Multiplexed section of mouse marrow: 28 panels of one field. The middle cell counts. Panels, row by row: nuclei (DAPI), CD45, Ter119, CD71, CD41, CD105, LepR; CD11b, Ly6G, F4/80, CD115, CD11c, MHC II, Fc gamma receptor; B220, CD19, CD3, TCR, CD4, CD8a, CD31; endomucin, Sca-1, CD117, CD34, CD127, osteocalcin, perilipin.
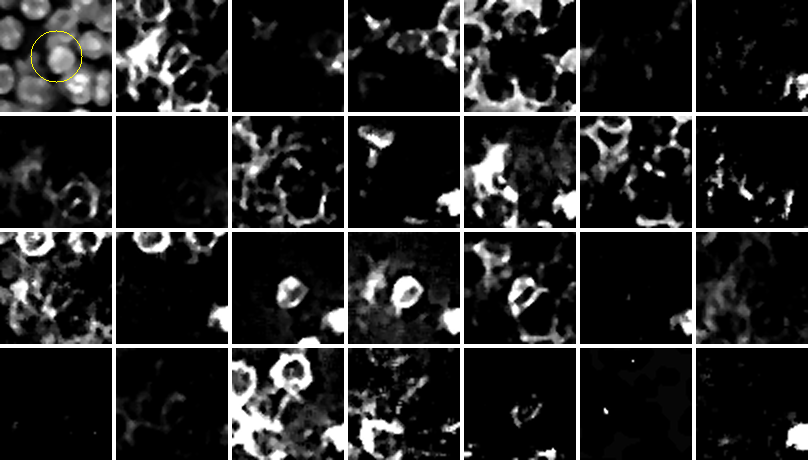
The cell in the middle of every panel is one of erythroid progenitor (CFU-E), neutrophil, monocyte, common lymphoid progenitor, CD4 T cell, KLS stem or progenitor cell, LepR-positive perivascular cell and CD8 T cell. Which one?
CD4 T cell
